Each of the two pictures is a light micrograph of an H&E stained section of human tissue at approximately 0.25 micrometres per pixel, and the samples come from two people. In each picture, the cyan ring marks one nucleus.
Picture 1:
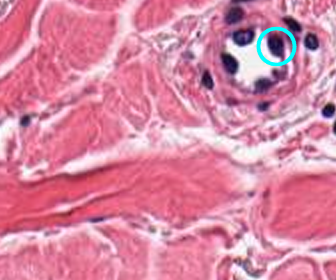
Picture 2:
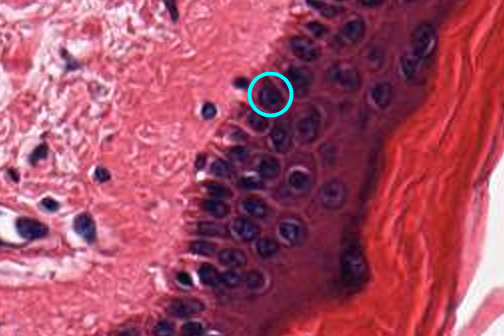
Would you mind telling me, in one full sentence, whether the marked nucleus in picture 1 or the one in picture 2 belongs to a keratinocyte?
Shown in picture 2 is a marked nucleus belonging to a keratinocyte.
